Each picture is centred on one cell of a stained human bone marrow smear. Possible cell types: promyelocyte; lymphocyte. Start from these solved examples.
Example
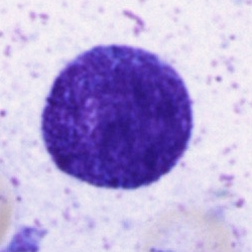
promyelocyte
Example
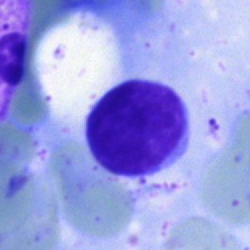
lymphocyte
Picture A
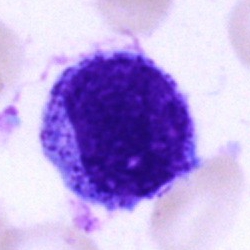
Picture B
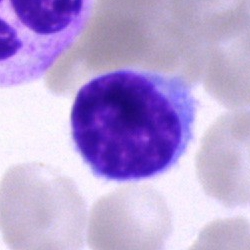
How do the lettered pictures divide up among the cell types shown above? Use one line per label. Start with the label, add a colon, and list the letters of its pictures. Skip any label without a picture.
promyelocyte: A
lymphocyte: B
